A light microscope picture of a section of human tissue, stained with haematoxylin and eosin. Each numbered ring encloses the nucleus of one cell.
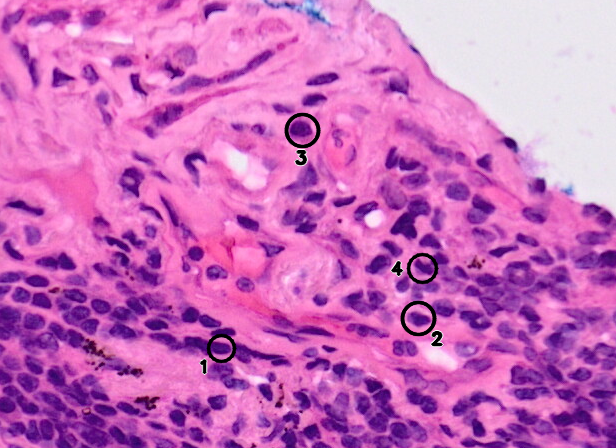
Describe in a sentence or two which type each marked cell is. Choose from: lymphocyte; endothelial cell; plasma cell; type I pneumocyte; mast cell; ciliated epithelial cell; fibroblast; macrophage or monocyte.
Cell 1 is a lymphocyte, cell 2 is a lymphocyte, cell 3 is a plasma cell and cell 4 is a lymphocyte.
